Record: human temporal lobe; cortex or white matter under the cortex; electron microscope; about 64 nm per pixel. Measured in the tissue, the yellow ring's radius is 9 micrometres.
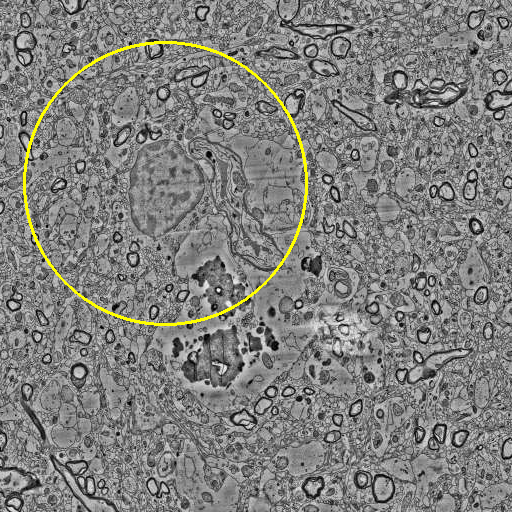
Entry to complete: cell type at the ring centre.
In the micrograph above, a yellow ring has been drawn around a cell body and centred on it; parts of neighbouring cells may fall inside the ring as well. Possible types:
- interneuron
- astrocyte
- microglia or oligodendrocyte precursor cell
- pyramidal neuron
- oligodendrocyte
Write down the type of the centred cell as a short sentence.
The ring is centred on an oligodendrocyte.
